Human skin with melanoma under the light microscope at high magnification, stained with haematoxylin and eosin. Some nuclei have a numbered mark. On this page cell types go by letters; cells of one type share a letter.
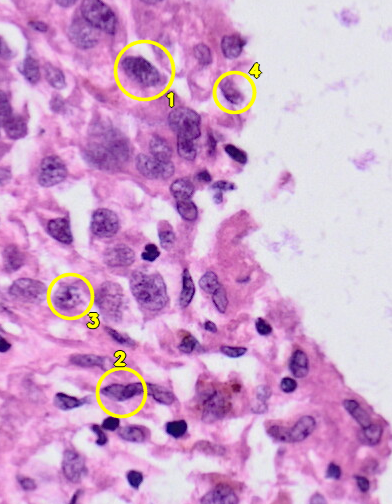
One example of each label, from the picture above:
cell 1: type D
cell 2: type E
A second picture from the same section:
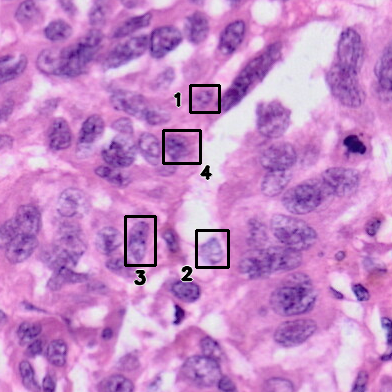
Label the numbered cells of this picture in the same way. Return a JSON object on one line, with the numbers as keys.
{"1": "type D", "2": "type E", "3": "type D", "4": "type D"}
